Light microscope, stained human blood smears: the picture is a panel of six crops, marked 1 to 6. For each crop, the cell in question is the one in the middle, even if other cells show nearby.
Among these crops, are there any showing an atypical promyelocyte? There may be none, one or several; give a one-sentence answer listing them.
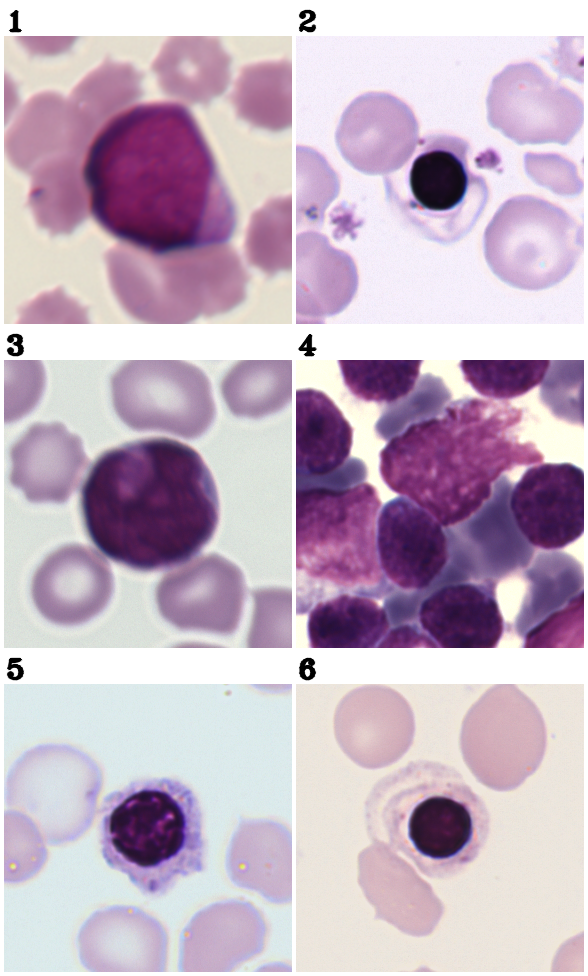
Among the crops there is not one that shows an atypical promyelocyte.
